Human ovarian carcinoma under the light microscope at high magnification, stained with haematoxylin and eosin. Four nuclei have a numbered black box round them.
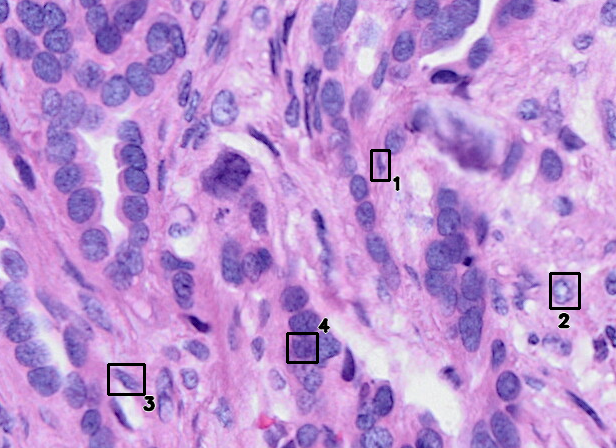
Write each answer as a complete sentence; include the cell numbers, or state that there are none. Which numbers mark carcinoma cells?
No marked cell except number 4 is a carcinoma cell.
